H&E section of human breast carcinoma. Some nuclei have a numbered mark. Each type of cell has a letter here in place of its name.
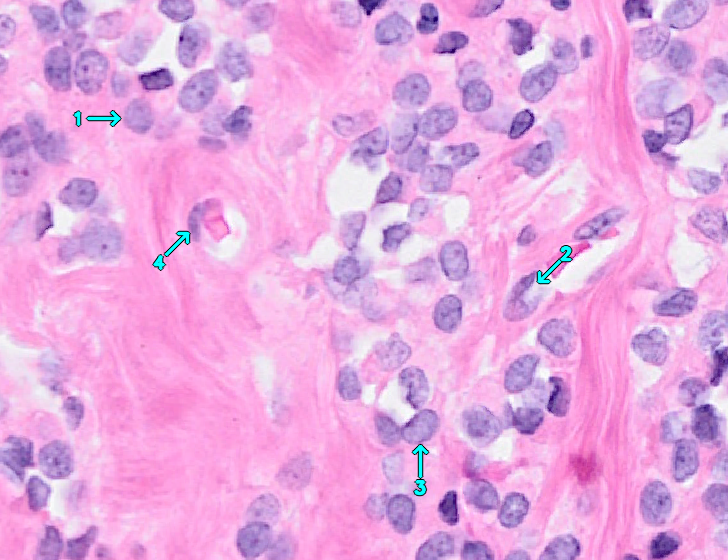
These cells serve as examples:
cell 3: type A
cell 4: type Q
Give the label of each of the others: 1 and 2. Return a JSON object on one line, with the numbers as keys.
{"1": "type A", "2": "type Q"}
